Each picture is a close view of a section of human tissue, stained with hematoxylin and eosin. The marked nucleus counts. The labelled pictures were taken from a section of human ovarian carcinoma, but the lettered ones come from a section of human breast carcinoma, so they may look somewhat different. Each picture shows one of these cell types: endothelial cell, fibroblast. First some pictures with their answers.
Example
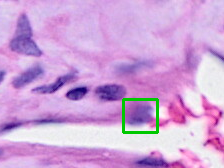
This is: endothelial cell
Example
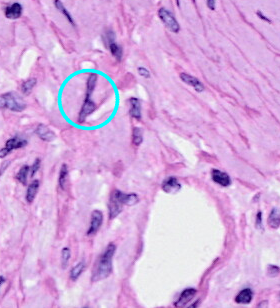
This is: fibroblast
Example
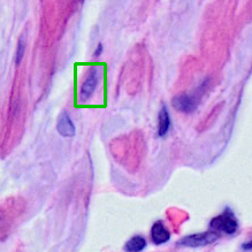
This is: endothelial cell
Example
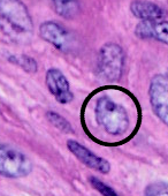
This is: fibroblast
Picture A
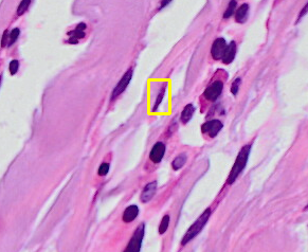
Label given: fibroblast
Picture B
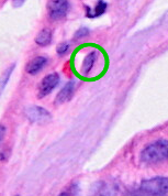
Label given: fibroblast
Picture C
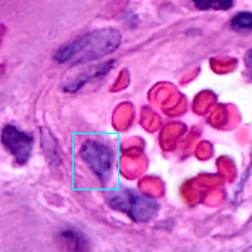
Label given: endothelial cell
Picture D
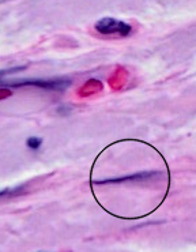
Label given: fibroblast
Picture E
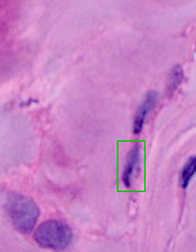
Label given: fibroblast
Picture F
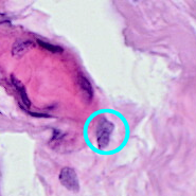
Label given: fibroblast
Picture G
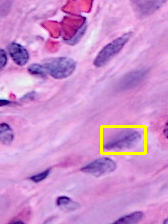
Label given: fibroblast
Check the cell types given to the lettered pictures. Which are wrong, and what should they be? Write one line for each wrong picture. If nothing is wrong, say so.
B: not fibroblast but endothelial cell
